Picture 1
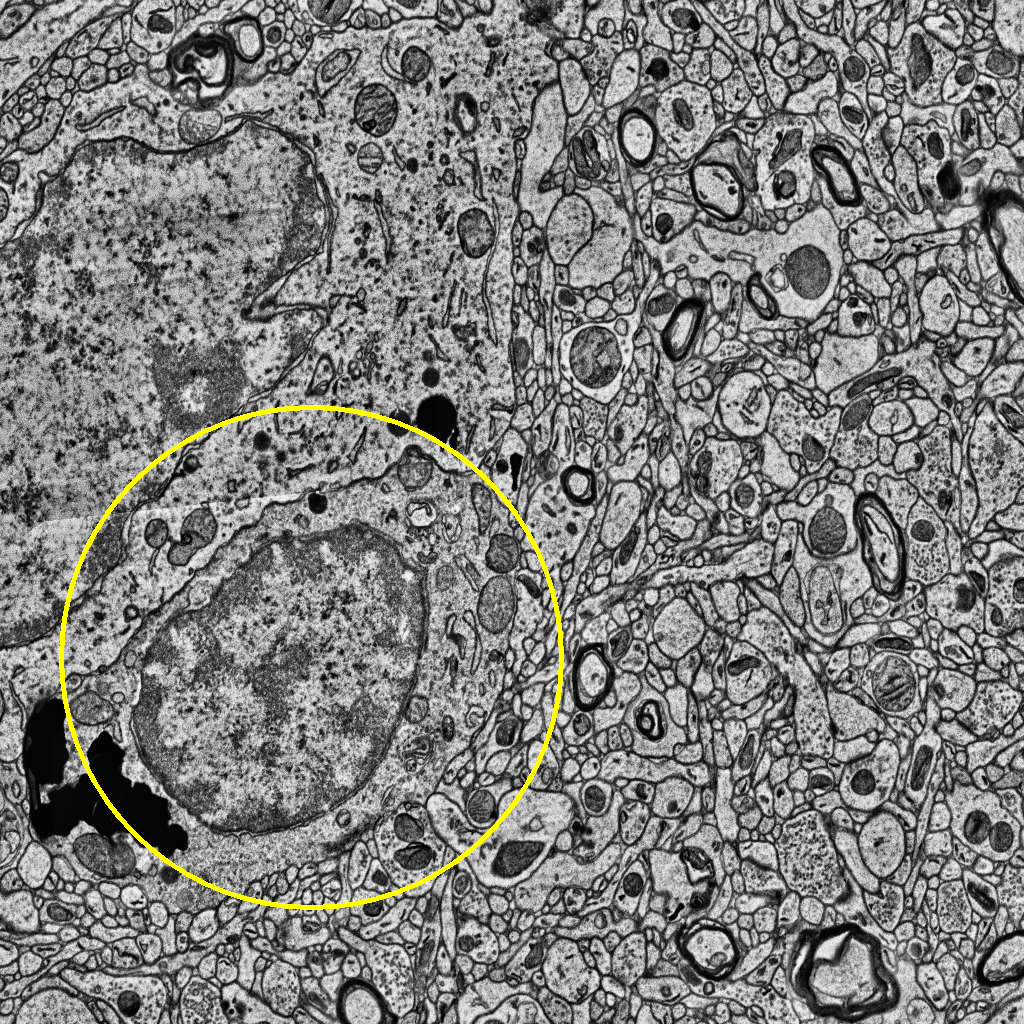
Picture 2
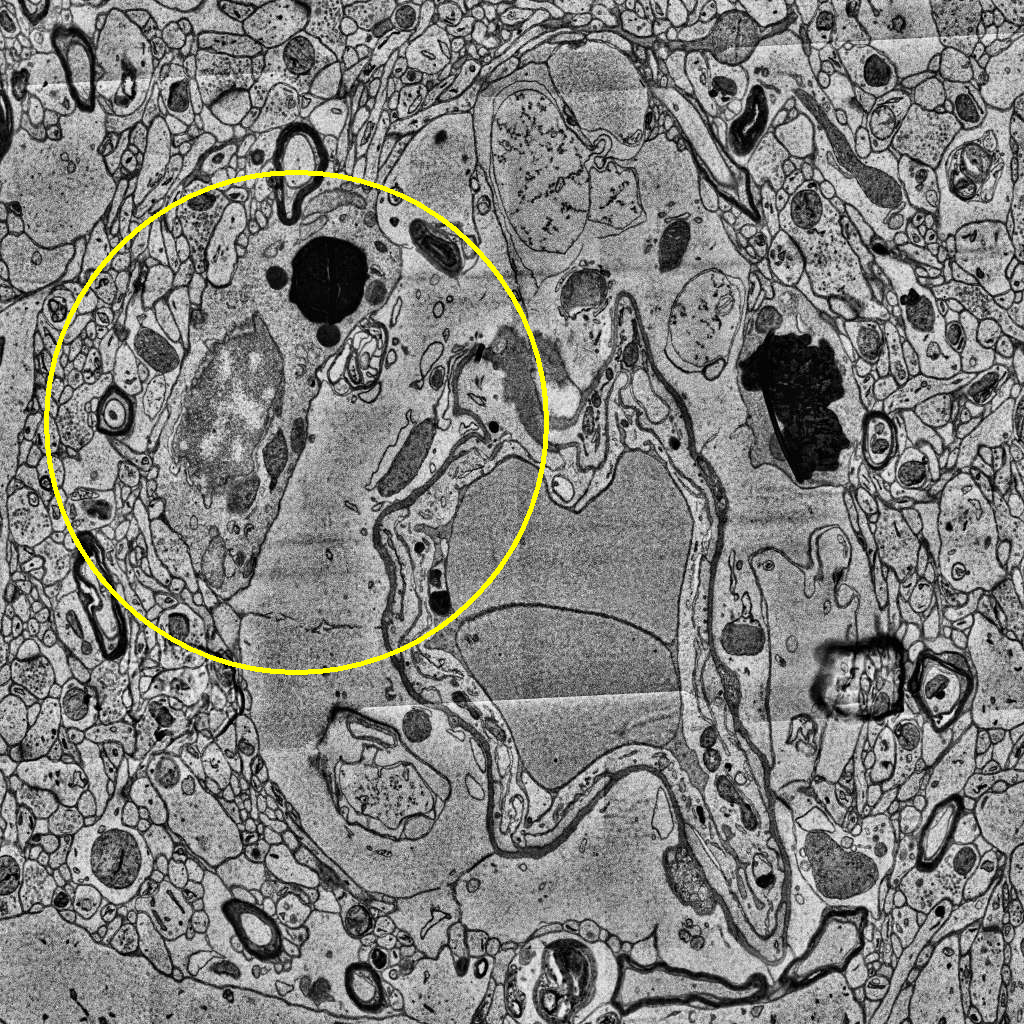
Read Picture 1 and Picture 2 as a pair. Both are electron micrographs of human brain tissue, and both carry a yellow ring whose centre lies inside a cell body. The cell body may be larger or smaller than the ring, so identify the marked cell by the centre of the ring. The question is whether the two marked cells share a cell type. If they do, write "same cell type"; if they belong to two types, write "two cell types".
same cell type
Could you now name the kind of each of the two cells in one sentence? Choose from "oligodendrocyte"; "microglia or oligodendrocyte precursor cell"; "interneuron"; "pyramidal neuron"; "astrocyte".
The first and the second cell are each an oligodendrocyte.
